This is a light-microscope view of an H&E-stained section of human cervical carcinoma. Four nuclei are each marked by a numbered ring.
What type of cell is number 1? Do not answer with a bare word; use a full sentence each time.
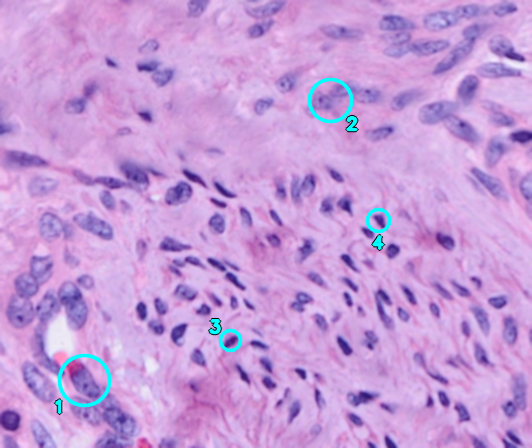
Cell number 1 in this section is an endothelial cell.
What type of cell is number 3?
The numeral 3 marks a smooth muscle cell in this section.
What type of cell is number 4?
The cell marked with number 4 is a smooth muscle cell.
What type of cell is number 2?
The cell tagged with 2 in this tissue section is a smooth muscle cell.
